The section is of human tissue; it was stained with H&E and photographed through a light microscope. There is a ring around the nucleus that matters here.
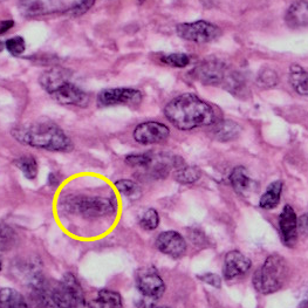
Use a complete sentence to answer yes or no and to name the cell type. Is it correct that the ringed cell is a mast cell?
No, the ringed cell isn't a mast cell; it is a melanoma cell.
